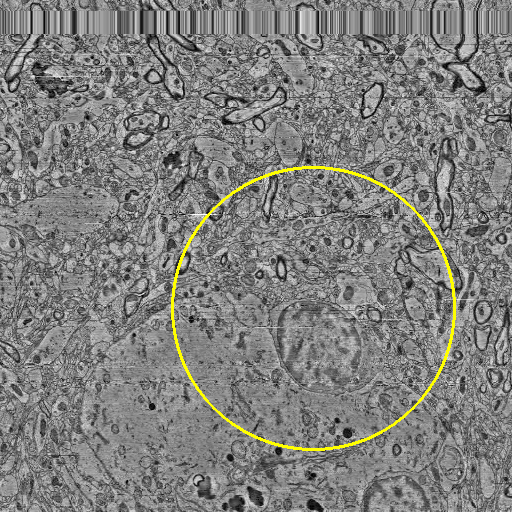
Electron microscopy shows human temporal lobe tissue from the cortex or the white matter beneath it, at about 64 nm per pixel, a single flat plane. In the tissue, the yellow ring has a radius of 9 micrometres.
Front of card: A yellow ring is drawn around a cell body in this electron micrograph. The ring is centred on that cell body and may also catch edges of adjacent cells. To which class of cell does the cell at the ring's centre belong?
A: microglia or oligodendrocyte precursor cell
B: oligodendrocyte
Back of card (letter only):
B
